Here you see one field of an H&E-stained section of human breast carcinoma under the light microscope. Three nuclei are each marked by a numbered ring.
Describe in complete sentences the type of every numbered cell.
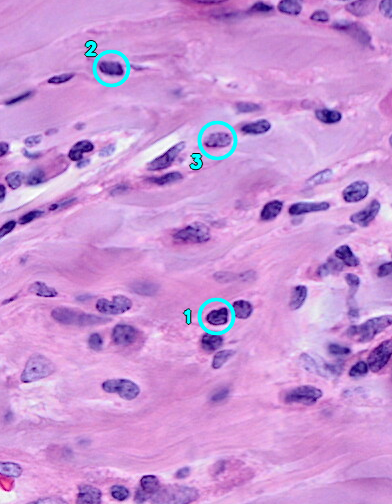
Cell 1 is a lymphocyte, cell 2 is a lymphocyte and cell 3 is a mast cell.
